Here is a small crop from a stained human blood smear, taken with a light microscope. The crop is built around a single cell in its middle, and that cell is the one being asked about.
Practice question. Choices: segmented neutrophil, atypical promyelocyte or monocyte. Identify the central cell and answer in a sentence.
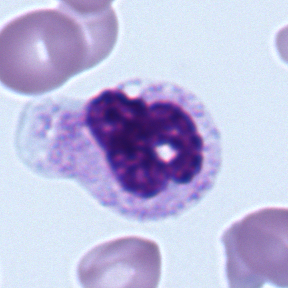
The cell found in the middle of this crop is a segmented neutrophil.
